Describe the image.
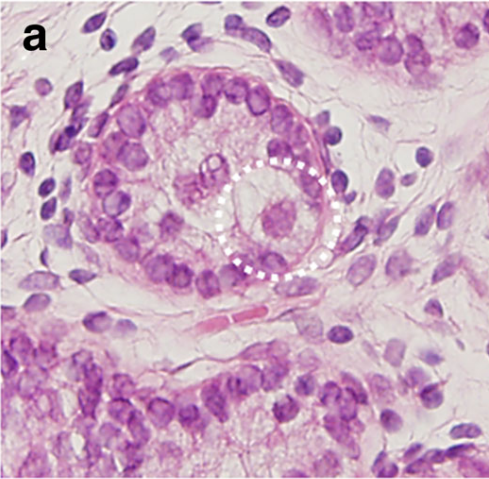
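This is testicular tissue showing cross sections of seminiferous tubules and the loose interstitium between them. In the central tubule, a single ring of cells with purple nuclei lines the wall. The tubule has no open lumen and no mature spermatogenic cells. Within the tubule lies a large round cell with pale, clear cytoplasm and a round central nucleus, a spermatogonium. Around the tubule is loose pale connective tissue containing spindle-shaped cells with elongated nuclei. A small vessel containing red blood cells runs below the tubule.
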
